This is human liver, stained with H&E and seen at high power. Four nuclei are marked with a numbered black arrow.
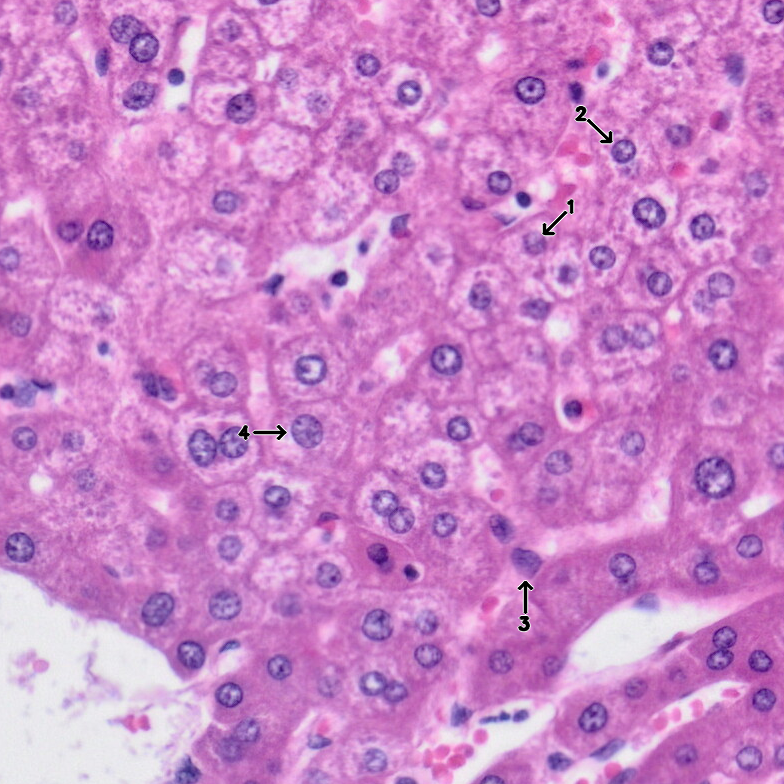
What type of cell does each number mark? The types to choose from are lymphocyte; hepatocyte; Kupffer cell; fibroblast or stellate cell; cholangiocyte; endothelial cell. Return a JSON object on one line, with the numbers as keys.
{"1": "hepatocyte", "2": "hepatocyte", "3": "endothelial cell", "4": "hepatocyte"}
